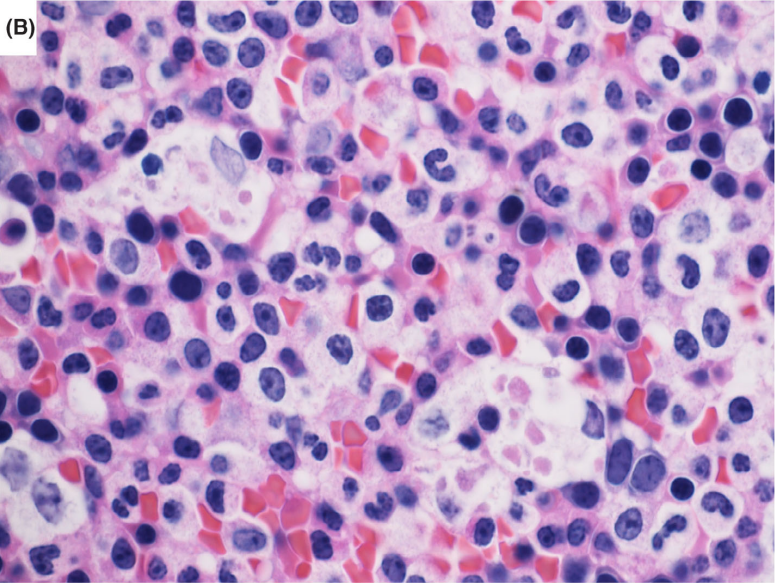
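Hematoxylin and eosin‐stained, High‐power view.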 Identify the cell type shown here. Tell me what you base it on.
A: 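Large cells with abundant pale, vacuolated cytoplasm are scattered through the field. Some of these large cells hold red cells and small dark round nuclei inside their cytoplasm.
Hence: macrophages.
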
